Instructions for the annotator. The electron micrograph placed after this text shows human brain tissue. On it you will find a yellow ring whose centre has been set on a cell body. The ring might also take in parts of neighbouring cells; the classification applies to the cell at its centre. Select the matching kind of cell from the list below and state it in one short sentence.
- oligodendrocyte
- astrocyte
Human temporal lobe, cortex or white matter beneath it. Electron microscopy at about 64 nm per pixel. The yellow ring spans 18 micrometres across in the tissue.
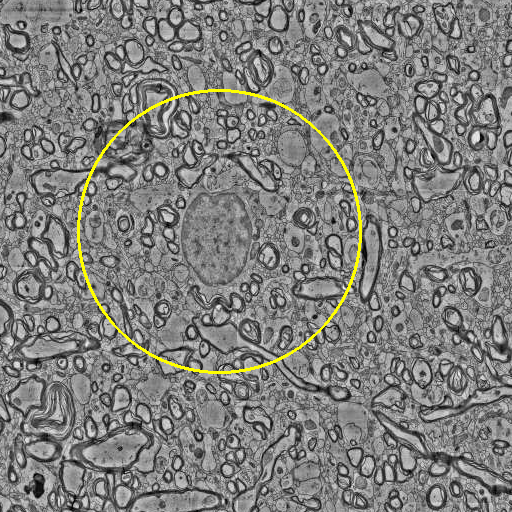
The ring is drawn on the cell body of an oligodendrocyte.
